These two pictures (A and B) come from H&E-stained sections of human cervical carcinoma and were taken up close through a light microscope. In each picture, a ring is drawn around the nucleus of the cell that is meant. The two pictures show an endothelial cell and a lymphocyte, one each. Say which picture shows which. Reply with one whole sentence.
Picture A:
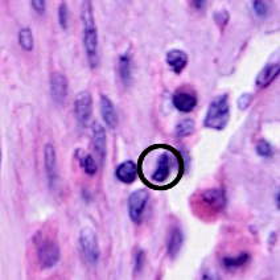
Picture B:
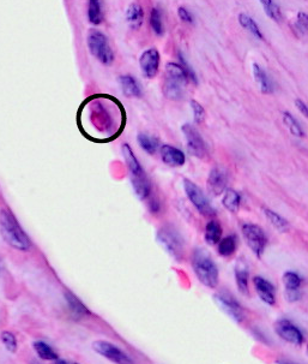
Picture A shows a lymphocyte and picture B shows an endothelial cell.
